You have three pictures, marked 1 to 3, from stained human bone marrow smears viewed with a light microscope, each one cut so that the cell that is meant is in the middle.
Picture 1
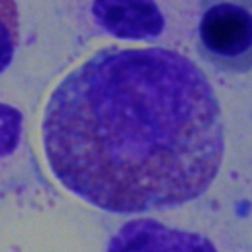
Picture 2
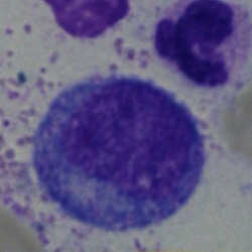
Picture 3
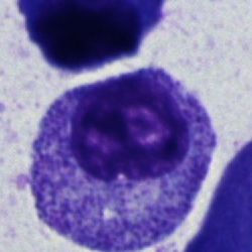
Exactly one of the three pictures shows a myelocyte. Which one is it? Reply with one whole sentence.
The picture with the myelocyte is 3.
